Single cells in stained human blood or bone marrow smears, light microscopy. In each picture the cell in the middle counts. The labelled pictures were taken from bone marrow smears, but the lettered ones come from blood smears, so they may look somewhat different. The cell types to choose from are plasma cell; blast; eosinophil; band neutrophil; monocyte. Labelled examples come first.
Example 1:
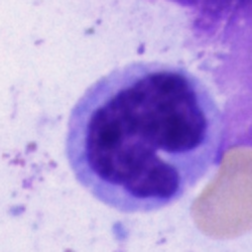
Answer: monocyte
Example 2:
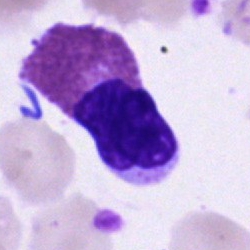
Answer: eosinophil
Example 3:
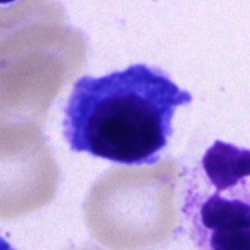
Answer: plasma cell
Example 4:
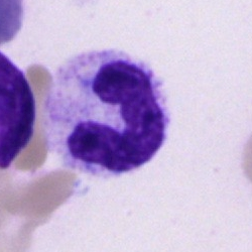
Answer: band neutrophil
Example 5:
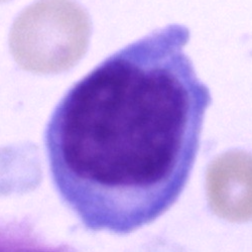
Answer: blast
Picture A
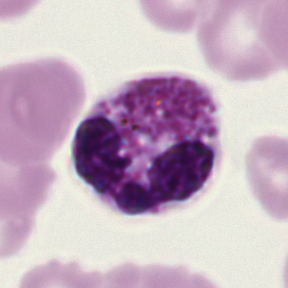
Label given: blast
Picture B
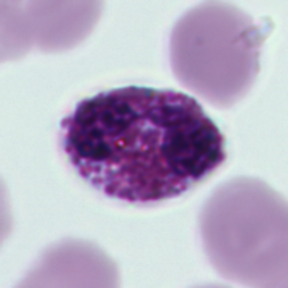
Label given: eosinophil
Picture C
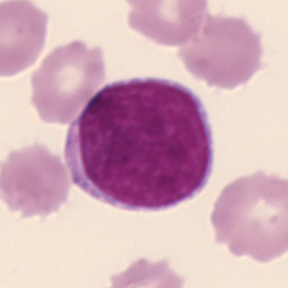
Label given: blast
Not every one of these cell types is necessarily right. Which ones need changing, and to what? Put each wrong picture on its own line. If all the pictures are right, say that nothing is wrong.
A: eosinophil, not blast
